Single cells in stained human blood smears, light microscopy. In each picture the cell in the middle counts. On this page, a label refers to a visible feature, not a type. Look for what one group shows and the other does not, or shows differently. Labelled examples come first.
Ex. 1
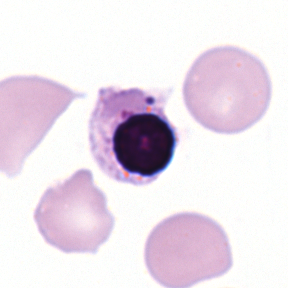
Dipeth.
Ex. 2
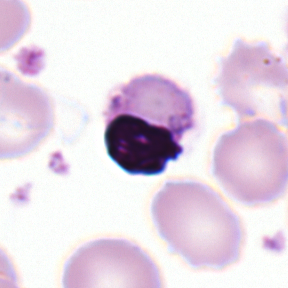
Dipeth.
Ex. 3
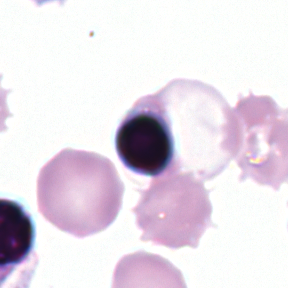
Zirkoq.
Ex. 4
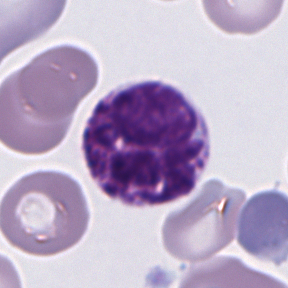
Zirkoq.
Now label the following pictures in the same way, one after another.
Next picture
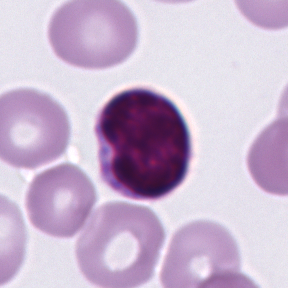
Zirkoq.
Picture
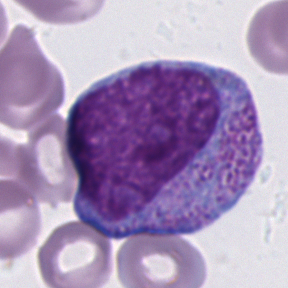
Zirkoq.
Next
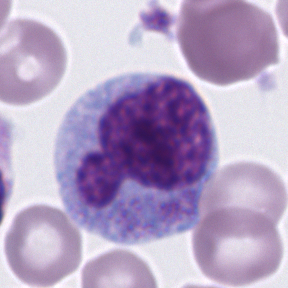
Zirkoq.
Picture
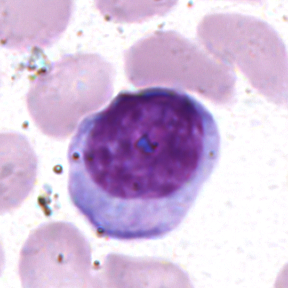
Zirkoq.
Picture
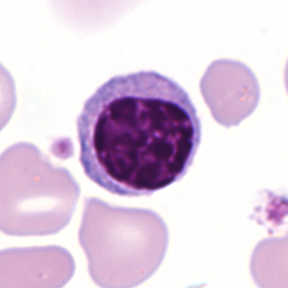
Zirkoq.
